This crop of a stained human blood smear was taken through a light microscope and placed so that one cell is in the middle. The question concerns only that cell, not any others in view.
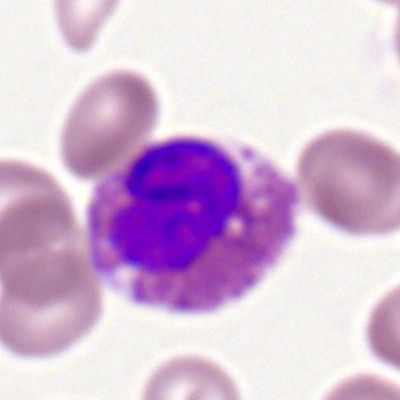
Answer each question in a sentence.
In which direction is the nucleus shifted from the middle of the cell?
It is shifted toward the upper left of the cell.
